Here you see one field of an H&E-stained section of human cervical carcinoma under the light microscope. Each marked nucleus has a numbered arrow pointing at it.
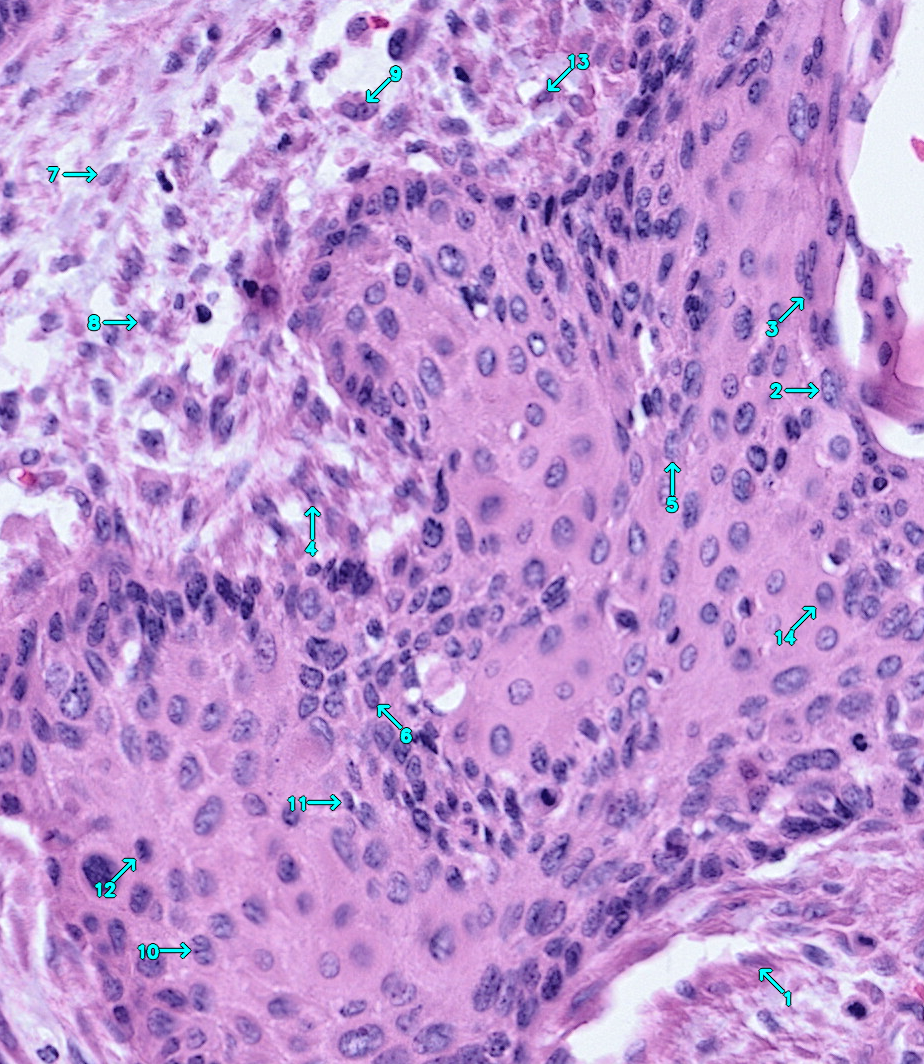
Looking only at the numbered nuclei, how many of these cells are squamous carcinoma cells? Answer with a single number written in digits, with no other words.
8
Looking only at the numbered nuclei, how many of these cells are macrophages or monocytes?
1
